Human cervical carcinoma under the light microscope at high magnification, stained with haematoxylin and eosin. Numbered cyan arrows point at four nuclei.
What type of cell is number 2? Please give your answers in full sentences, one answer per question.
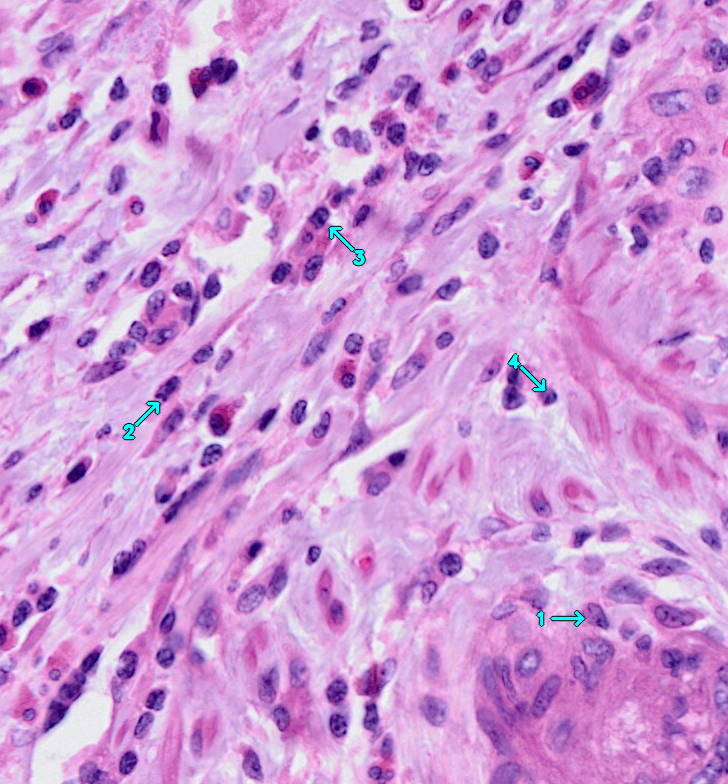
Among the marked nuclei, number 2 belongs to a lymphocyte.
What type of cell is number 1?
As for number 1, that cell is a macrophage or monocyte.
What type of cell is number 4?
The cell referenced by the number 4 is a lymphocyte in this field.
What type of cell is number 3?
The cell that carries the label 3 is a lymphocyte.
